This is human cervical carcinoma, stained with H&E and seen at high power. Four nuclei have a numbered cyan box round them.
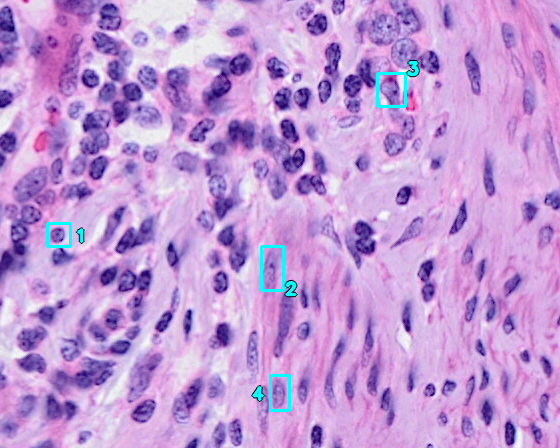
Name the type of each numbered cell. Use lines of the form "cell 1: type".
cell 1: lymphocyte
cell 2: smooth muscle cell
cell 3: endothelial cell
cell 4: smooth muscle cell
